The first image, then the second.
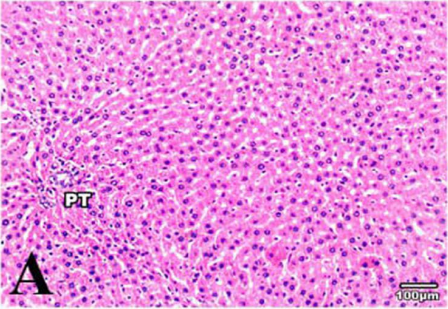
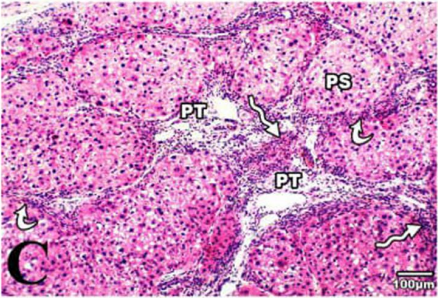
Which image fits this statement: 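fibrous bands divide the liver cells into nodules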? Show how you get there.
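The second image. Second image: cell-rich bands encircle rounded nodules of liver cells. First image: liver cell cords run continuously with no dividing bands.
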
